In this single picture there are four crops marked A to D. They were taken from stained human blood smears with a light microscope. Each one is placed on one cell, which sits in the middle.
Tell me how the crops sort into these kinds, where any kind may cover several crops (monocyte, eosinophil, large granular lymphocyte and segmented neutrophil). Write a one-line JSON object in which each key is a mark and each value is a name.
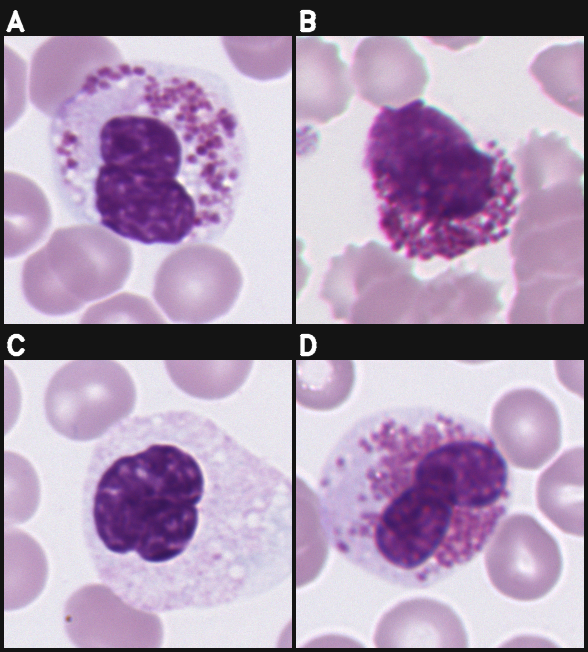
{"A": "eosinophil", "B": "eosinophil", "C": "segmented neutrophil", "D": "eosinophil"}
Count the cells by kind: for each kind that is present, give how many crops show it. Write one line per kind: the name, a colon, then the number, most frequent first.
eosinophil: 3
segmented neutrophil: 1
